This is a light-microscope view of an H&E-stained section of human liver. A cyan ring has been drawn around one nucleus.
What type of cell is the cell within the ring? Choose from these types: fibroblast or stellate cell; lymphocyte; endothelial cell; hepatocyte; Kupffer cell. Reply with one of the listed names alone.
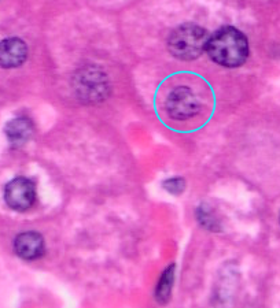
hepatocyte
